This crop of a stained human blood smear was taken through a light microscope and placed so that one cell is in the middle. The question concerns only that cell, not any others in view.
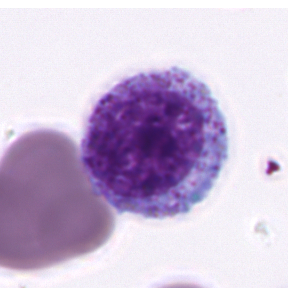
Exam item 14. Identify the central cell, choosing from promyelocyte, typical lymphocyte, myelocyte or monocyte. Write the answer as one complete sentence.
The cell featured at the centre of this crop is a myelocyte.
